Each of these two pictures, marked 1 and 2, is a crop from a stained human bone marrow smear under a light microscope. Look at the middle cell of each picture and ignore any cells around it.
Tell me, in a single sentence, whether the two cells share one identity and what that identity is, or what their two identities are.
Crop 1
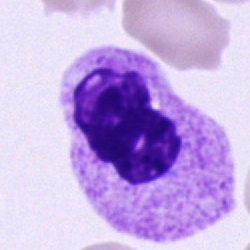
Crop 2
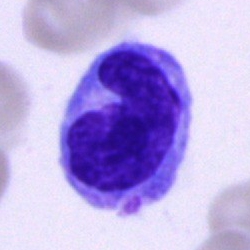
No, just to correct that: crop 1 shows a segmented neutrophil, crop 2 shows a monocyte.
